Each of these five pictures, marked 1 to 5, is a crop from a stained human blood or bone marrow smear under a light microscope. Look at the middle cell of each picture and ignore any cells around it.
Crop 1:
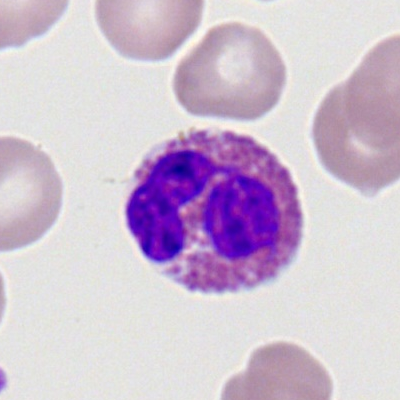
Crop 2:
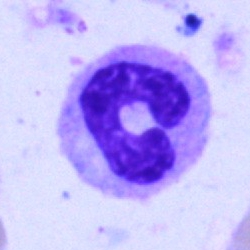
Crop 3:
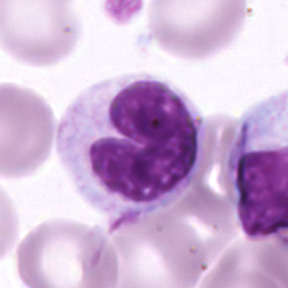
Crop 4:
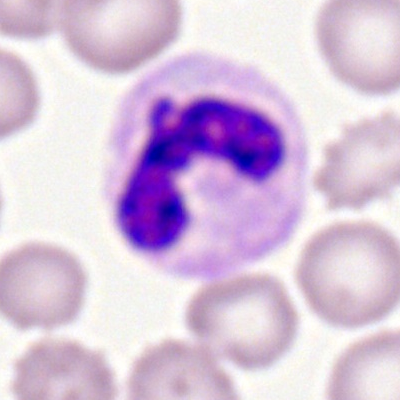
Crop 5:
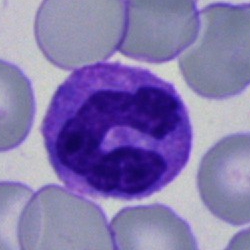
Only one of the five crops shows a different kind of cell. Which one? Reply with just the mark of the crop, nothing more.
1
